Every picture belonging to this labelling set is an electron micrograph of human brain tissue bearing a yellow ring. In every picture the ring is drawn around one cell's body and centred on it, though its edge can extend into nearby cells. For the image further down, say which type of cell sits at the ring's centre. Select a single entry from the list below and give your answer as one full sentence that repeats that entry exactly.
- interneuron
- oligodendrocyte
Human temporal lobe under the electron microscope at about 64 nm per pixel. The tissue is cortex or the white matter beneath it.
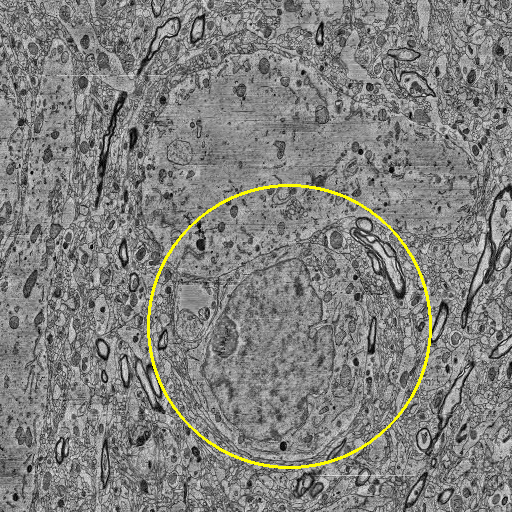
In the picture, an interneuron is the cell at the centre of the yellow ring.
